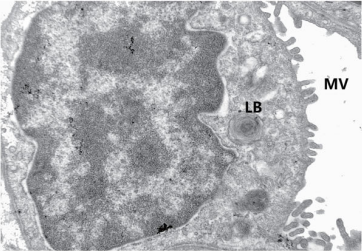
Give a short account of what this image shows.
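High magnification electron micrograph of an alveolar epithelial cell dominated by a large, rounded nucleus that fills most of the field. The nucleus has a finely granular nucleoplasm with darker, irregular patches of condensed chromatin and is bounded by a distinct envelope. The free surface of the cell, facing the air space at the right, bears a row of short finger-like microvilli.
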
